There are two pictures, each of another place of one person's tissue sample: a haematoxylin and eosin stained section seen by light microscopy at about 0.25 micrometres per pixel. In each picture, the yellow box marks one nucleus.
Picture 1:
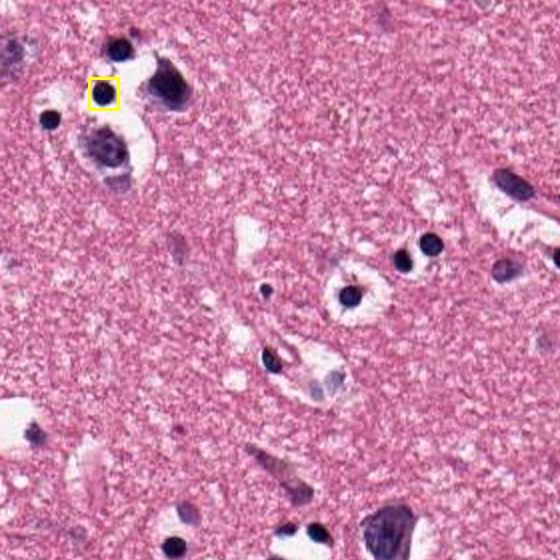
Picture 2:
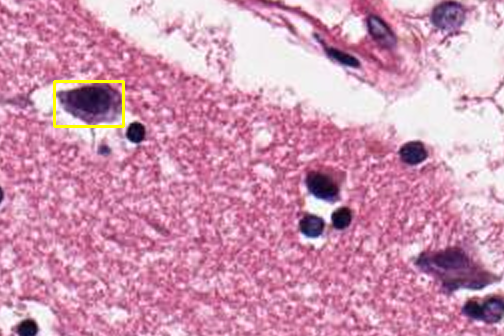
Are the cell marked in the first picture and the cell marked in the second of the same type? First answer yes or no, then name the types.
No, the first is an oligodendrocyte and the second a neuron.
